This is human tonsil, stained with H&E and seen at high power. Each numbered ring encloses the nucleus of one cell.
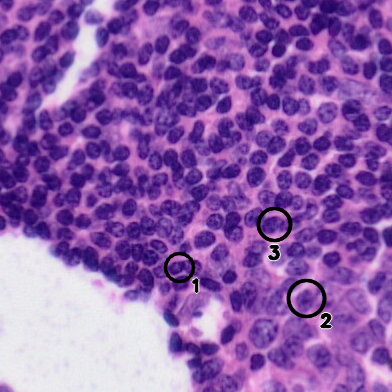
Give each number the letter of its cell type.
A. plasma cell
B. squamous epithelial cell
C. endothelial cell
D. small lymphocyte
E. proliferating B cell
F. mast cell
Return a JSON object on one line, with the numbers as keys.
{"1": "D", "2": "E", "3": "D"}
